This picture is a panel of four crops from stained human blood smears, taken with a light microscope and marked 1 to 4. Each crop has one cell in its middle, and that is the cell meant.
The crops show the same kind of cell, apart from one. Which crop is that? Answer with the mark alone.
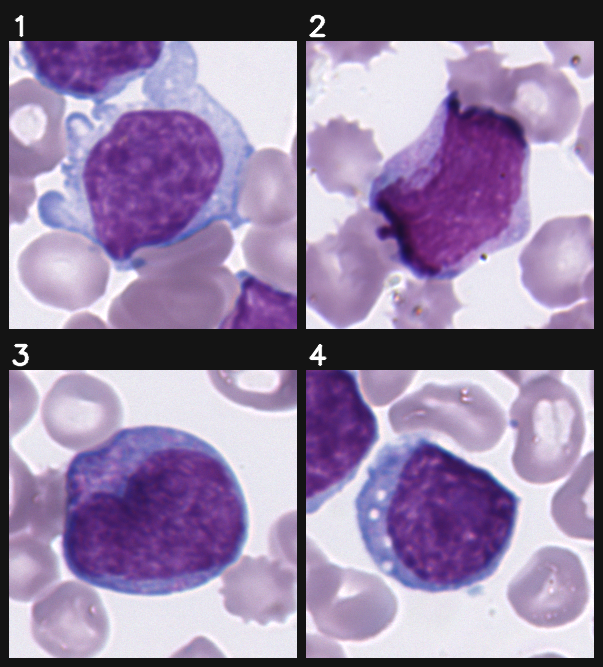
3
